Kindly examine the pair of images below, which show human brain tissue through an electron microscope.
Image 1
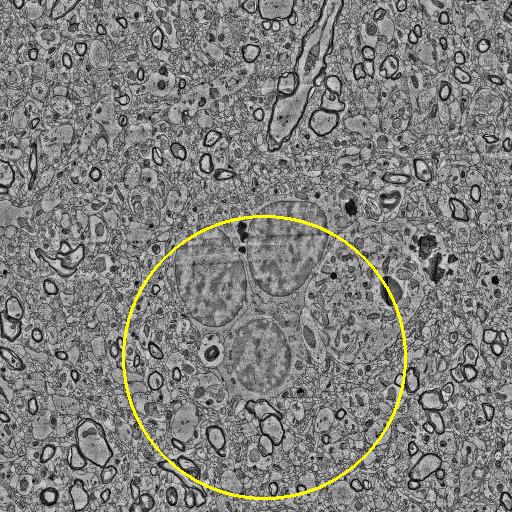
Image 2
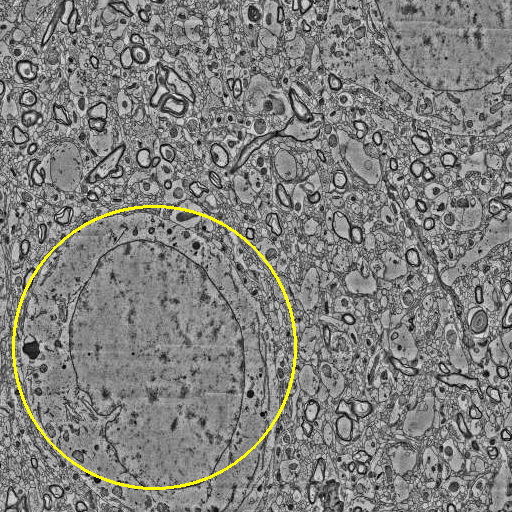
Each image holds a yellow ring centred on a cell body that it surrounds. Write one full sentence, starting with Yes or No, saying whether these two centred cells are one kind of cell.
No, the cells at the centres of the yellow rings belong to two kinds of cell.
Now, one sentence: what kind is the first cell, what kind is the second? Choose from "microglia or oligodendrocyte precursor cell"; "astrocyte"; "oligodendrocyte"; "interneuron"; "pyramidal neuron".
The first picture has an oligodendrocyte at its ring centre, and the second has a pyramidal neuron.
